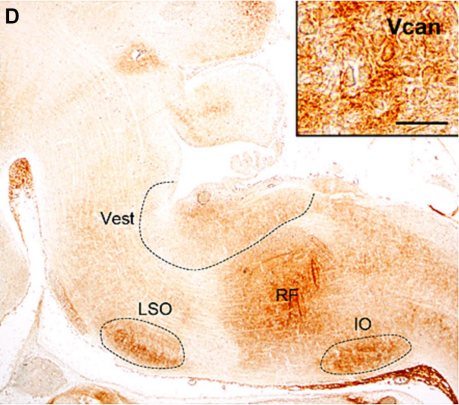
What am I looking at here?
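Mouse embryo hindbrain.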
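The strongest brown lies in a central region and in two oval cell groups near the ventral surface, while the dorsal parts of the section are pale. The enlarged insert shows dense brown labeling forming a network around small round cell profiles.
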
